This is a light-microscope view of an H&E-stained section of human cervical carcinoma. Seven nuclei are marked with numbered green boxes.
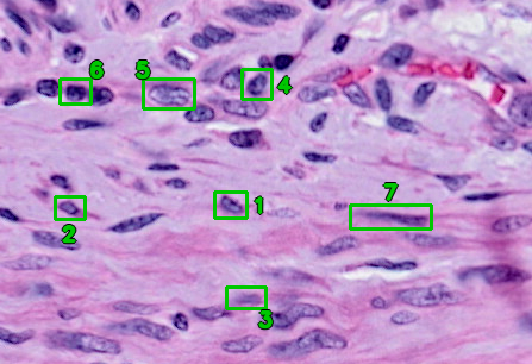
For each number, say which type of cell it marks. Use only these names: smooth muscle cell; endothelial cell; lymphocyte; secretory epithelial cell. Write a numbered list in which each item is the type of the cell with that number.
1. smooth muscle cell
2. smooth muscle cell
3. smooth muscle cell
4. lymphocyte
5. endothelial cell
6. lymphocyte
7. smooth muscle cell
